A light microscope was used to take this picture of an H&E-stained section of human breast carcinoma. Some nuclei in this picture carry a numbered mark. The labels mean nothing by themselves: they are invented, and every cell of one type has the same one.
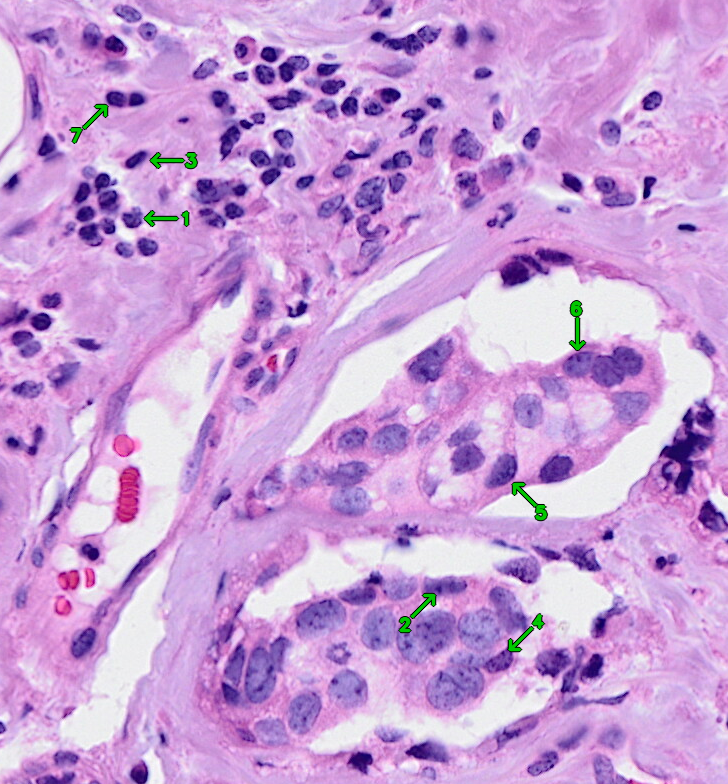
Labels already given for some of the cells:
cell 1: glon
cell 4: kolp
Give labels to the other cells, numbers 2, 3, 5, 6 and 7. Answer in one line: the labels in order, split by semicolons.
kolp; glon; kolp; kolp; glon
